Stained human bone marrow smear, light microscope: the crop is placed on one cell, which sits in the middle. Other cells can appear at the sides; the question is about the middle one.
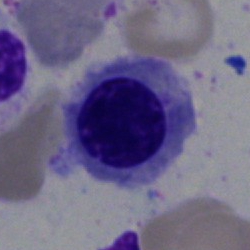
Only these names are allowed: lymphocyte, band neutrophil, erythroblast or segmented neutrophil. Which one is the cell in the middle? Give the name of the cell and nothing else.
erythroblast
